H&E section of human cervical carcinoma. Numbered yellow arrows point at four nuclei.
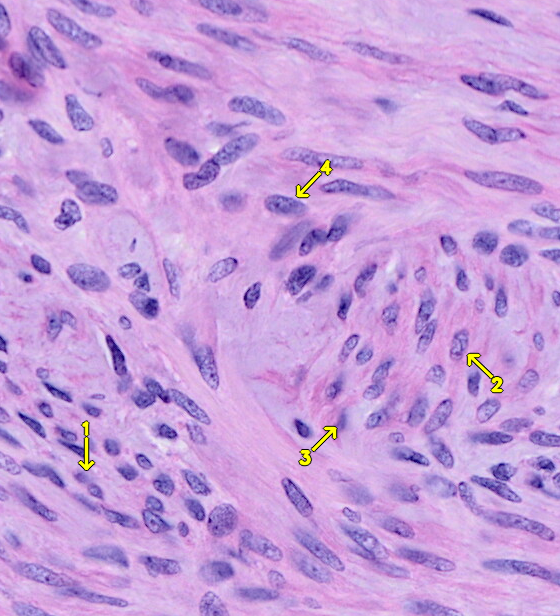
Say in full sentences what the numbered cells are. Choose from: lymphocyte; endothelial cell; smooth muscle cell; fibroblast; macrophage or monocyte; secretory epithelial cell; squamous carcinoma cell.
Cell 1 is a smooth muscle cell, cell 2 is a smooth muscle cell, cell 3 is a smooth muscle cell and cell 4 is a fibroblast.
